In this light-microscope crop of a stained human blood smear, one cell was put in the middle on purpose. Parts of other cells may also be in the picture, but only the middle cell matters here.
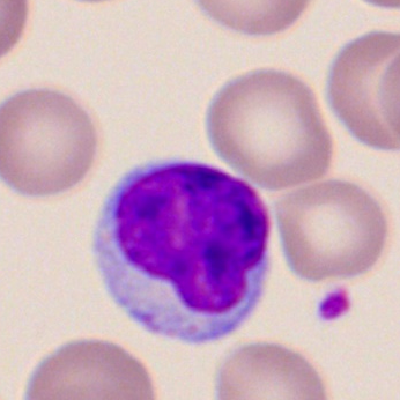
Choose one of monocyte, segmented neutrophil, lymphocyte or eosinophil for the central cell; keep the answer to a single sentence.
In this crop, the cell at the very middle is a lymphocyte.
